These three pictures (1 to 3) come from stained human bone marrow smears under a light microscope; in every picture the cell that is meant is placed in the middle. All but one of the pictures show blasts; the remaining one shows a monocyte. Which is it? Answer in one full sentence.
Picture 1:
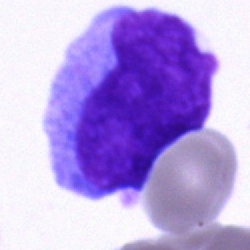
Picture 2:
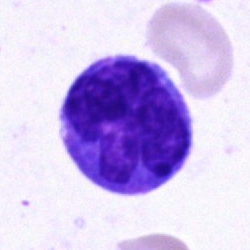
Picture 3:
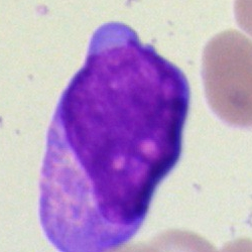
The monocyte is the one in picture 2.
